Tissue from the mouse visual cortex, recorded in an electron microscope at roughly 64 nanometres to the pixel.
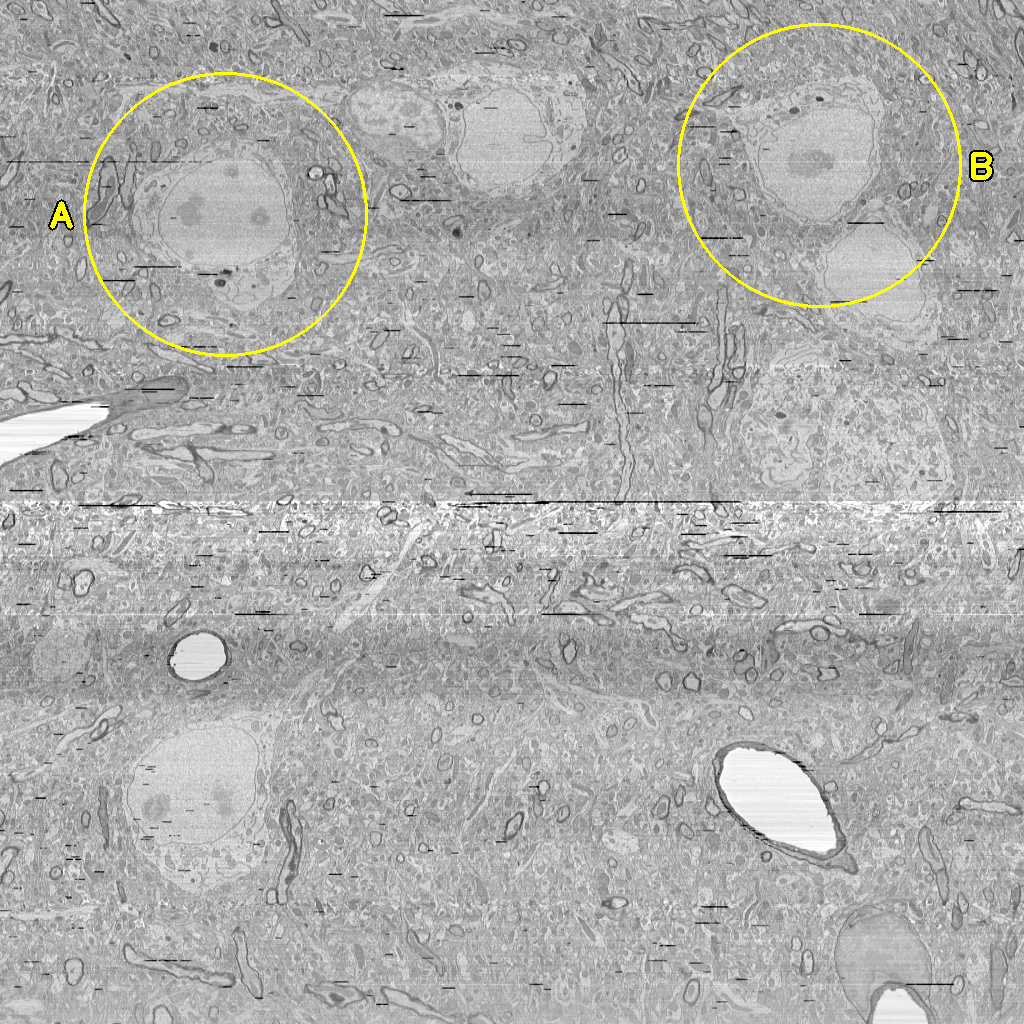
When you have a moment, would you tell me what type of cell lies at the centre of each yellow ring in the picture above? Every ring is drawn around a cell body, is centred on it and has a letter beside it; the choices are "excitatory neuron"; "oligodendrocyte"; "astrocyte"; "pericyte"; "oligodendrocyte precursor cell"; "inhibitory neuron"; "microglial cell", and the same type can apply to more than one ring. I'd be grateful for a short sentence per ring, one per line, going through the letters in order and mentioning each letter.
The cell at the centre of ring A is an excitatory neuron.
The cell at the centre of ring B is an inhibitory neuron.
